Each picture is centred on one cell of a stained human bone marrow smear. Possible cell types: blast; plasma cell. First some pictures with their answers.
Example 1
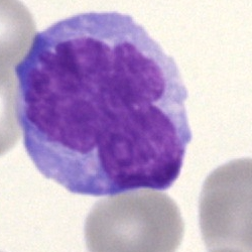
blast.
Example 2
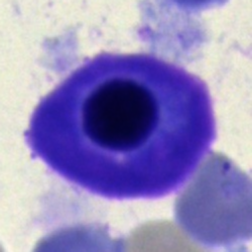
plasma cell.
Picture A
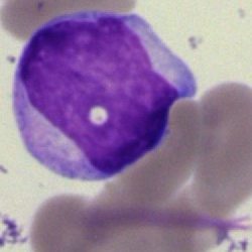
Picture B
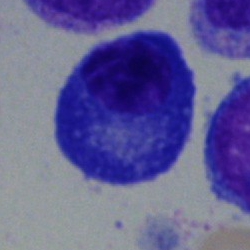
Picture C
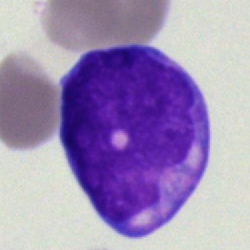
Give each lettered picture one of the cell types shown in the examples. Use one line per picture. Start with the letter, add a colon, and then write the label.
A: blast.
B: plasma cell.
C: blast.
